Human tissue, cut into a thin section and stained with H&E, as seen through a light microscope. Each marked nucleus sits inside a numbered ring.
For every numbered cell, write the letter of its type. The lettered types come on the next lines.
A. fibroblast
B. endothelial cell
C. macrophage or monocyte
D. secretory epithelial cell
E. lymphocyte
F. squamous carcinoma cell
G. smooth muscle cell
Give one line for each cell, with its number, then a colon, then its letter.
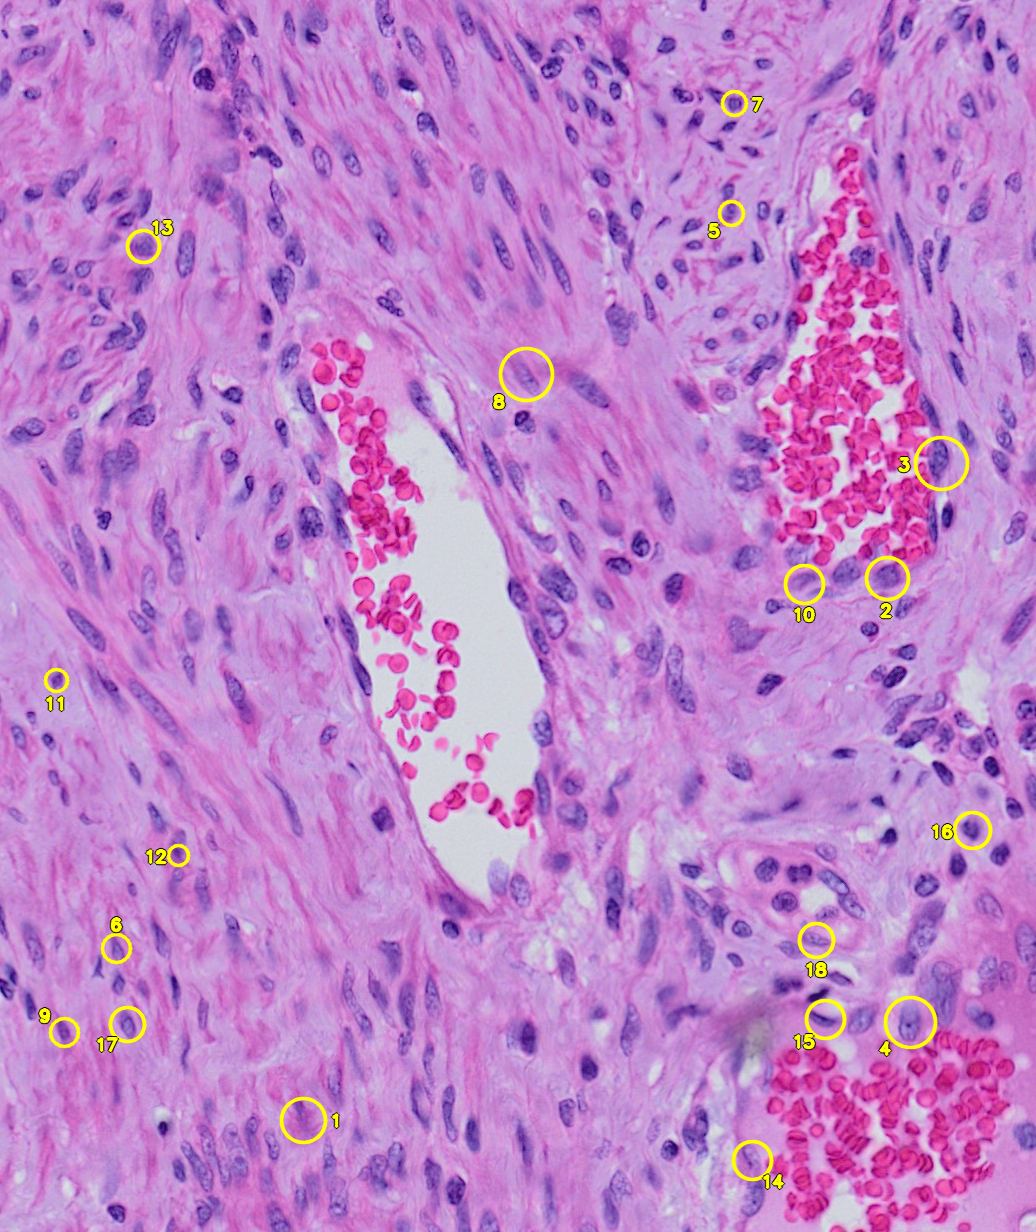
1: G
2: B
3: B
4: B
5: G
6: G
7: G
8: G
9: G
10: B
11: G
12: G
13: G
14: B
15: B
16: E
17: G
18: B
